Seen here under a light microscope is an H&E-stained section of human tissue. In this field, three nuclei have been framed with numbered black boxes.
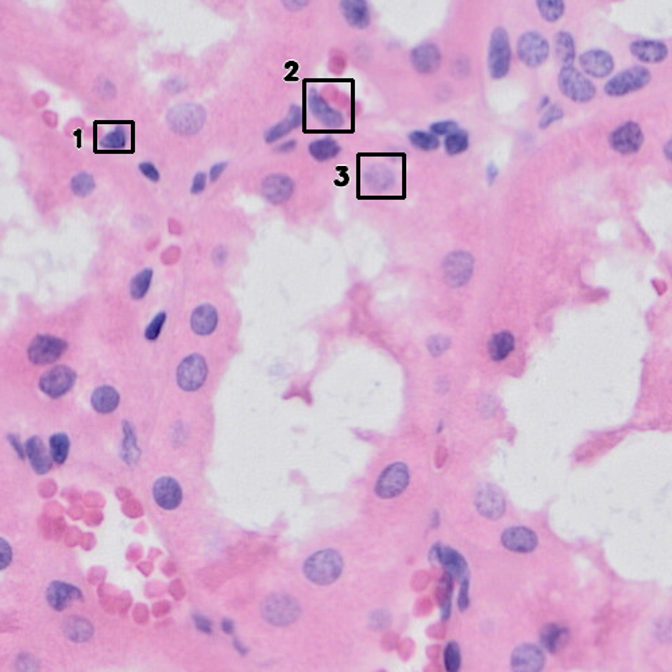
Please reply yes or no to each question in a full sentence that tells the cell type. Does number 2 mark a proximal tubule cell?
No, the cell at number 2 is an endothelial cell instead of a proximal tubule cell.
